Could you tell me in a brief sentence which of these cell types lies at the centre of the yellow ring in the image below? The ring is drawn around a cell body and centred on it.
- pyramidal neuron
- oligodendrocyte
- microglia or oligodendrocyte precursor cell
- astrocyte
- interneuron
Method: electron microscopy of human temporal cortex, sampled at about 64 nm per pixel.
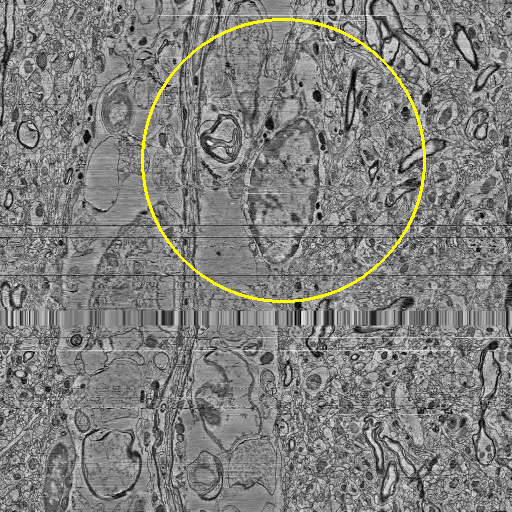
The cell centred in the ring is a microglial cell or oligodendrocyte precursor cell.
